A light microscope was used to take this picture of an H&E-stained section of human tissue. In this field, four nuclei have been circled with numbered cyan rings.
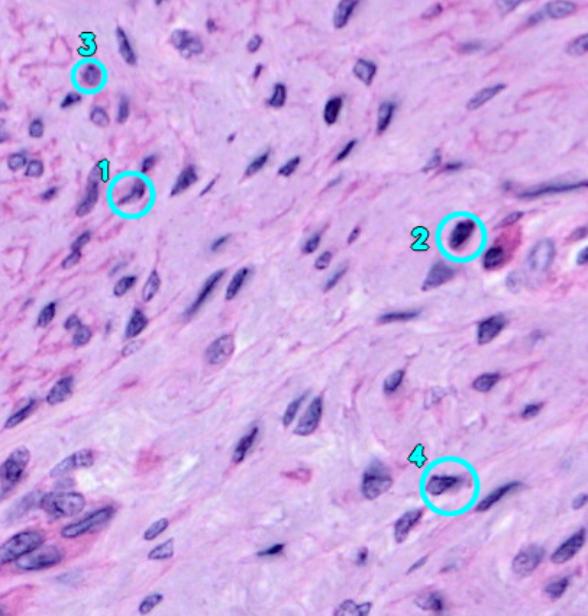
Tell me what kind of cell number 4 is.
fibroblast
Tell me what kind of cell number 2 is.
lymphocyte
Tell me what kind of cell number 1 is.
smooth muscle cell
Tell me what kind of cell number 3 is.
smooth muscle cell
